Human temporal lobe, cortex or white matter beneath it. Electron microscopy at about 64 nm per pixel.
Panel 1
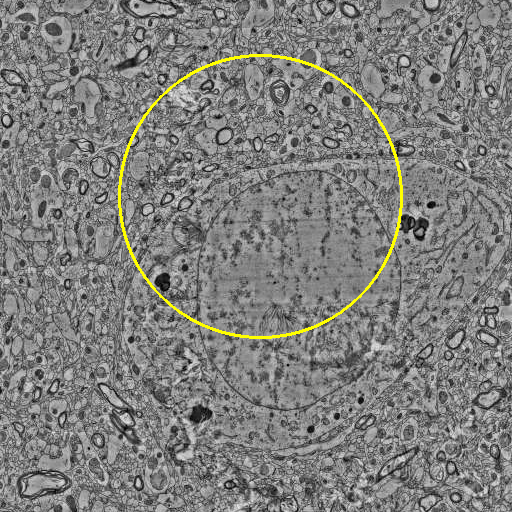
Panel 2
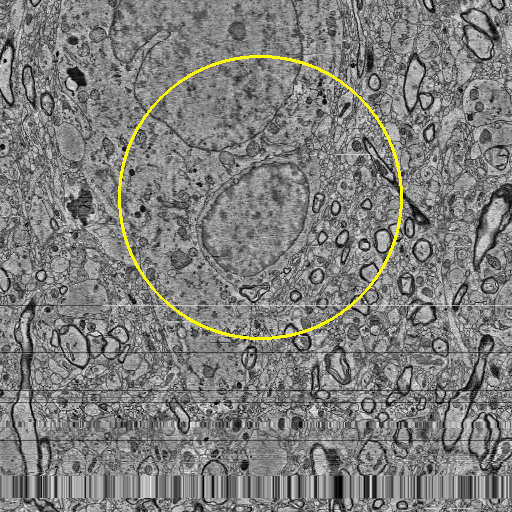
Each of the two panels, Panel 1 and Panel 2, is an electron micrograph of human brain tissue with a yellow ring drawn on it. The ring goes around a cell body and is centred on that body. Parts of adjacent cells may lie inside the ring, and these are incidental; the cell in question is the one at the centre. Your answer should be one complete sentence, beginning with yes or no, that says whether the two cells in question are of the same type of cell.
No, the two cells are of two types.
